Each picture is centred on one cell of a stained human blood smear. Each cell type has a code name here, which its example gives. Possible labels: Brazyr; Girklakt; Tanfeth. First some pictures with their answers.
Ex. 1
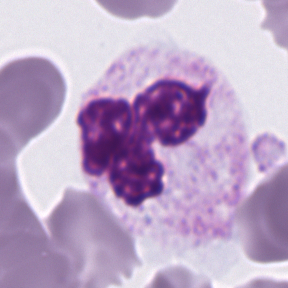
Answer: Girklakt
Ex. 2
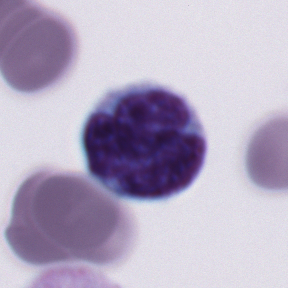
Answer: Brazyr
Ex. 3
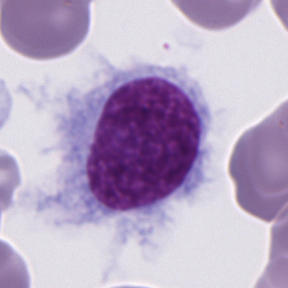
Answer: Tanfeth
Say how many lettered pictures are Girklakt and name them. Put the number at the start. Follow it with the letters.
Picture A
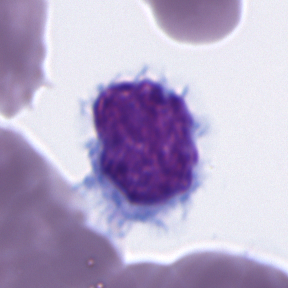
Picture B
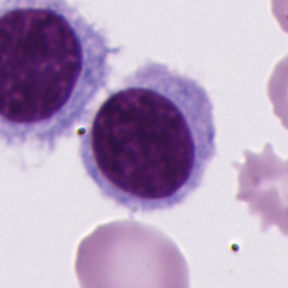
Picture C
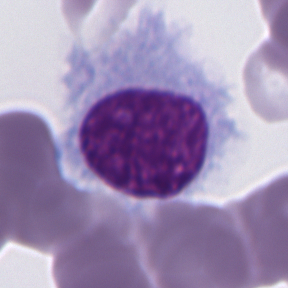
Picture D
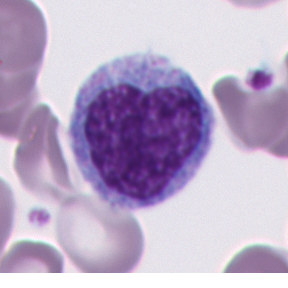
0, none of them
